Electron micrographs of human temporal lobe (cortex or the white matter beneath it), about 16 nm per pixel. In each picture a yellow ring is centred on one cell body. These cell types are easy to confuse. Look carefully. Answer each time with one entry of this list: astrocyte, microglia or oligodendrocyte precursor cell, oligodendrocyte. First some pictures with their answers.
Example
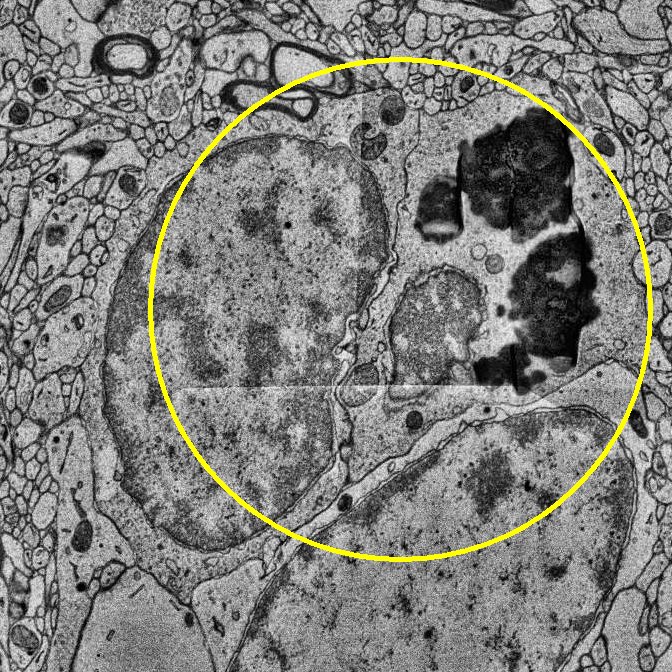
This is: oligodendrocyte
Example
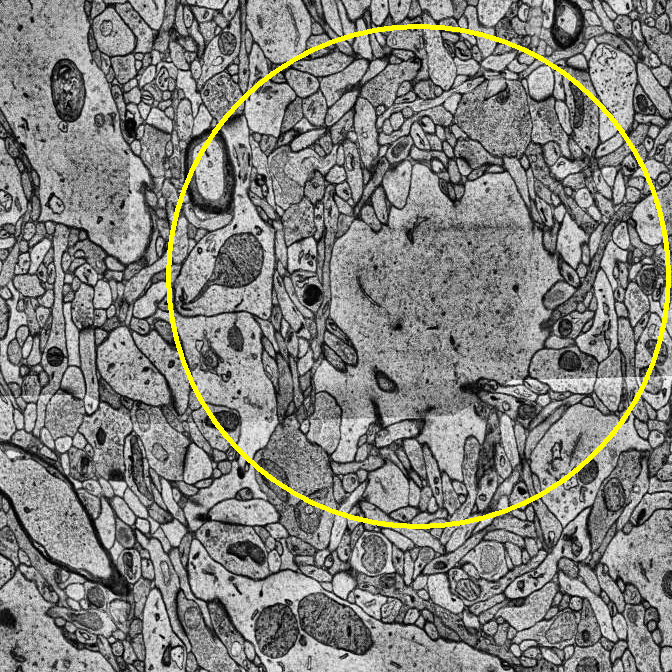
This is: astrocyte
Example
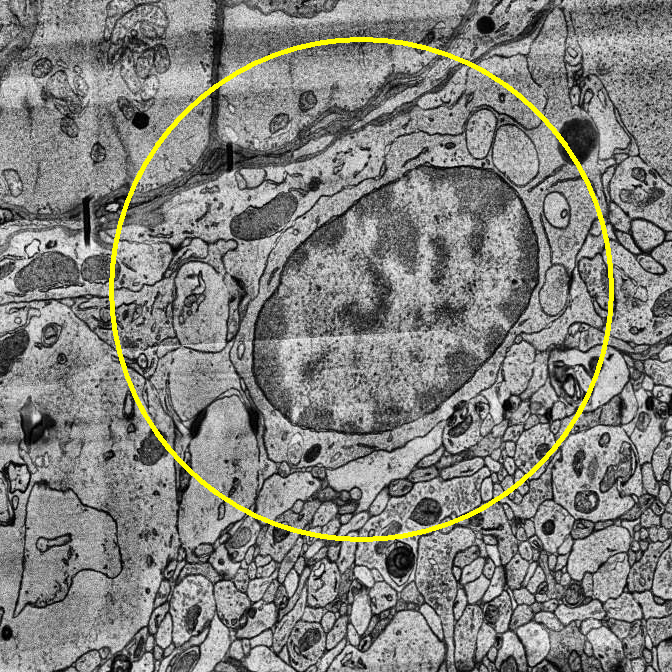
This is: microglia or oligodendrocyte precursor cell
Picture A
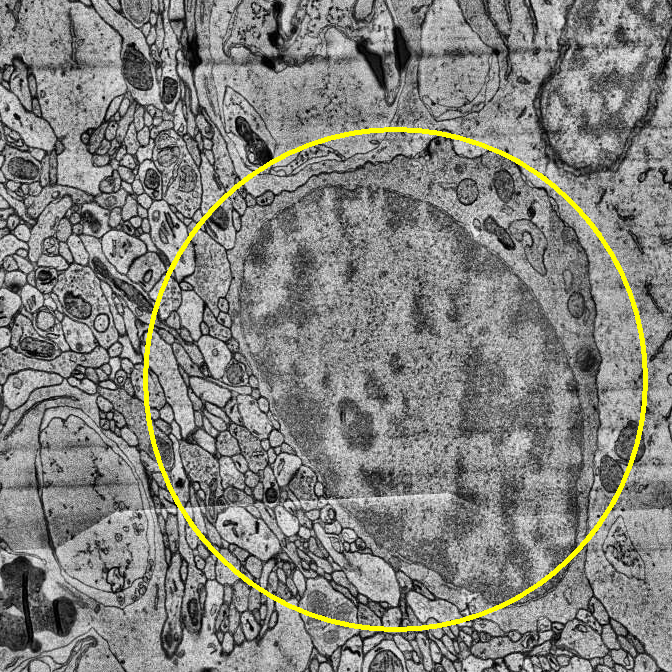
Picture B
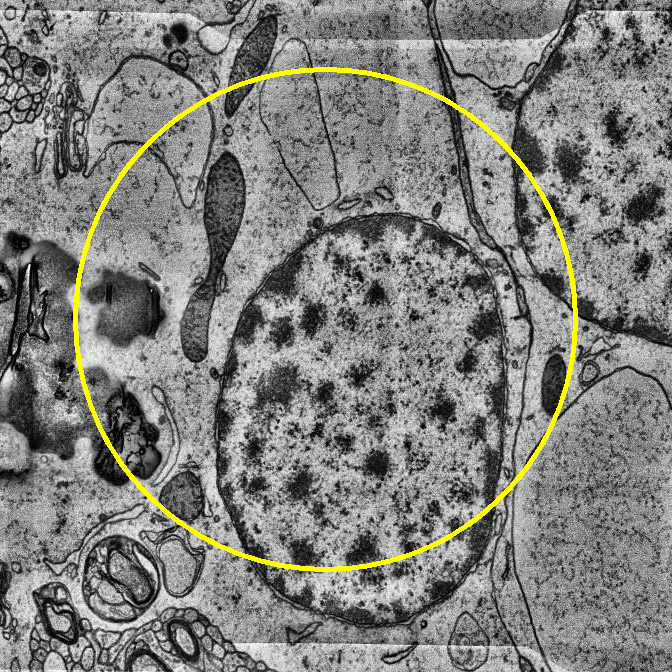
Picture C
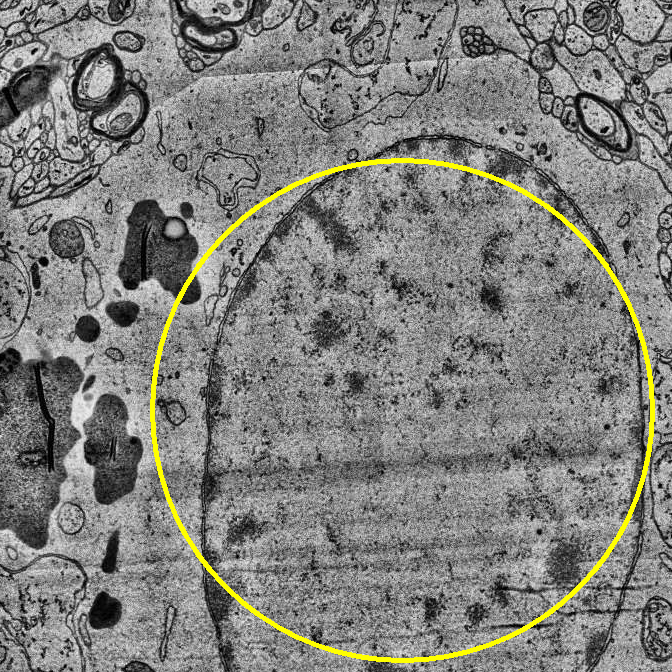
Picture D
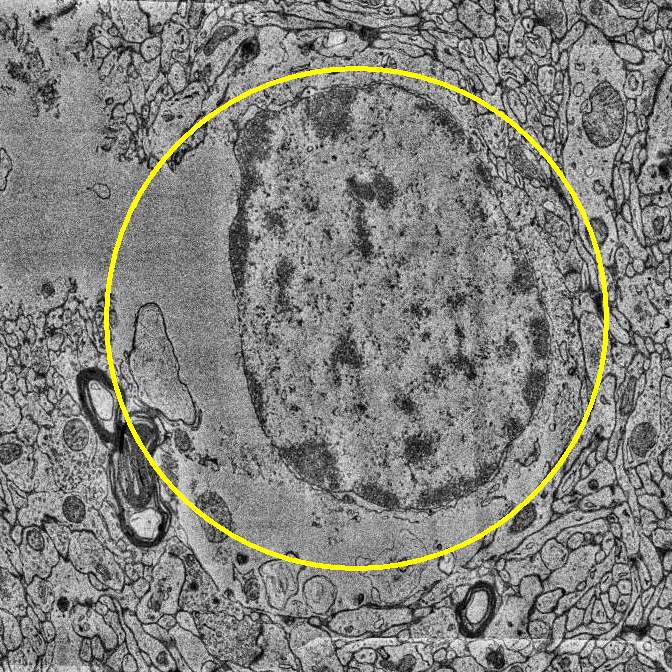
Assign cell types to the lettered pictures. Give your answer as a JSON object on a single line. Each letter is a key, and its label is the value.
{"A": "oligodendrocyte", "B": "astrocyte", "C": "astrocyte", "D": "microglia or oligodendrocyte precursor cell"}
